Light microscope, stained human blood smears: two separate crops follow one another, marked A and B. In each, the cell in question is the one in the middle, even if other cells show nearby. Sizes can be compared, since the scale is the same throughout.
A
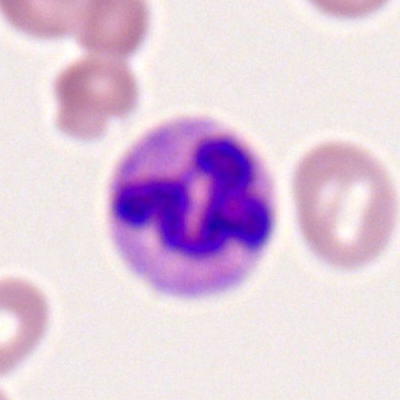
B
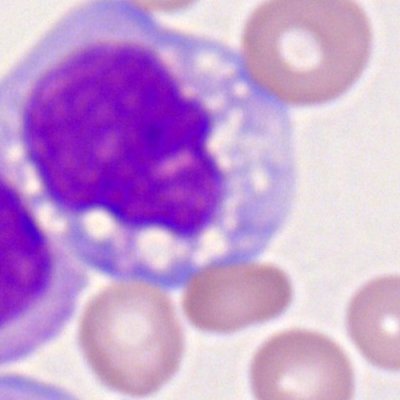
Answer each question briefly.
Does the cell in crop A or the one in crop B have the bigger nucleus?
B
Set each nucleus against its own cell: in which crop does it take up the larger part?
B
